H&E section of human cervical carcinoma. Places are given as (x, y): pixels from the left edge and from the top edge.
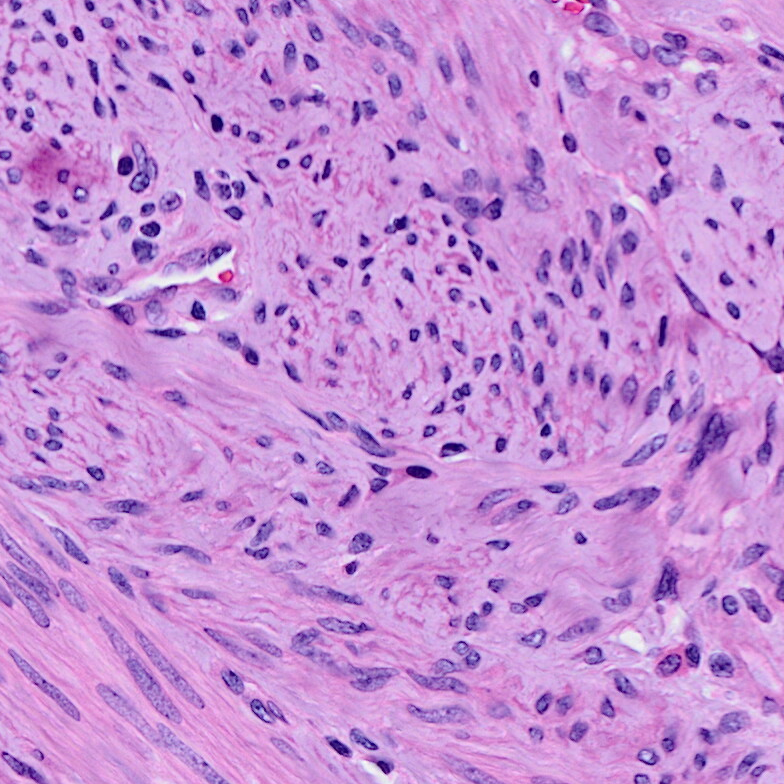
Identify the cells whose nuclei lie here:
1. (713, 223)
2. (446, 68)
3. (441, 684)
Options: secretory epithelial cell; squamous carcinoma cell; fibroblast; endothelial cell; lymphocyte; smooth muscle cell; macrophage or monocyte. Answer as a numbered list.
1. fibroblast
2. smooth muscle cell
3. smooth muscle cell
